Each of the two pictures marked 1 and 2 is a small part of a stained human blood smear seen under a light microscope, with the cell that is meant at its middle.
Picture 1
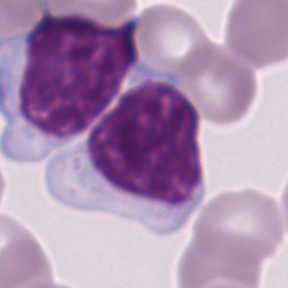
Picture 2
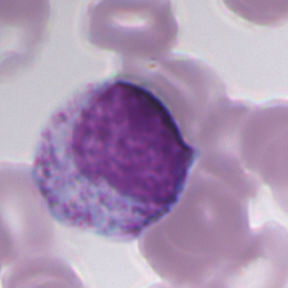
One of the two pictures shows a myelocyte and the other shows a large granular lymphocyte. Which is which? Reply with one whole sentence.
Picture 2 shows a myelocyte, while picture 1 shows a large granular lymphocyte.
